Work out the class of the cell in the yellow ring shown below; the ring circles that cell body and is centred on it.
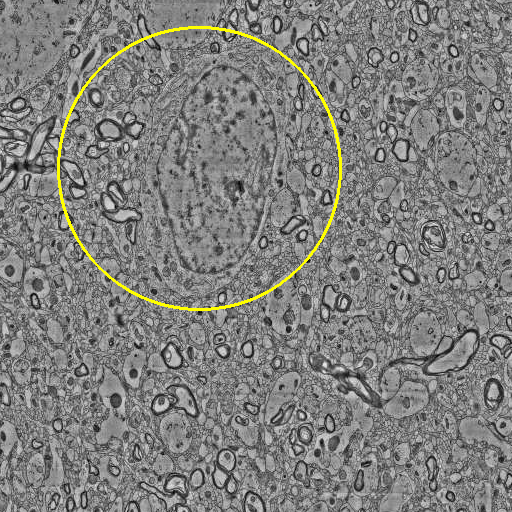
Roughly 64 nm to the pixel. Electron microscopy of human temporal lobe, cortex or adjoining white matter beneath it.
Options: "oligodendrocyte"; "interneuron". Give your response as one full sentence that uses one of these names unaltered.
The body ringed in yellow, right at the ring's centre, is that of an interneuron.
